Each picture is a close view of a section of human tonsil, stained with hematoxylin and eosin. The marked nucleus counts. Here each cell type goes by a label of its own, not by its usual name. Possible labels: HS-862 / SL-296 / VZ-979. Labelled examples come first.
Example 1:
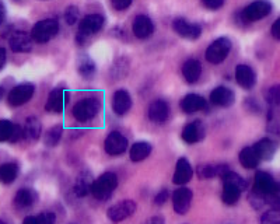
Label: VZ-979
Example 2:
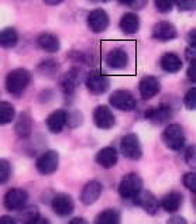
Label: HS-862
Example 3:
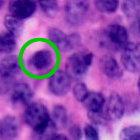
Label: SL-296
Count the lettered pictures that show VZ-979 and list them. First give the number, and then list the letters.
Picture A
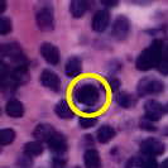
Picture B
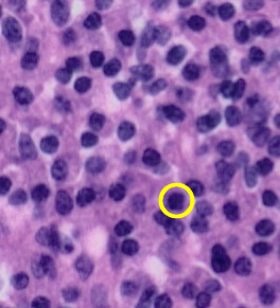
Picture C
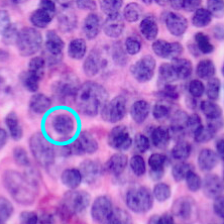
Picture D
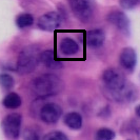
2, namely B, D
